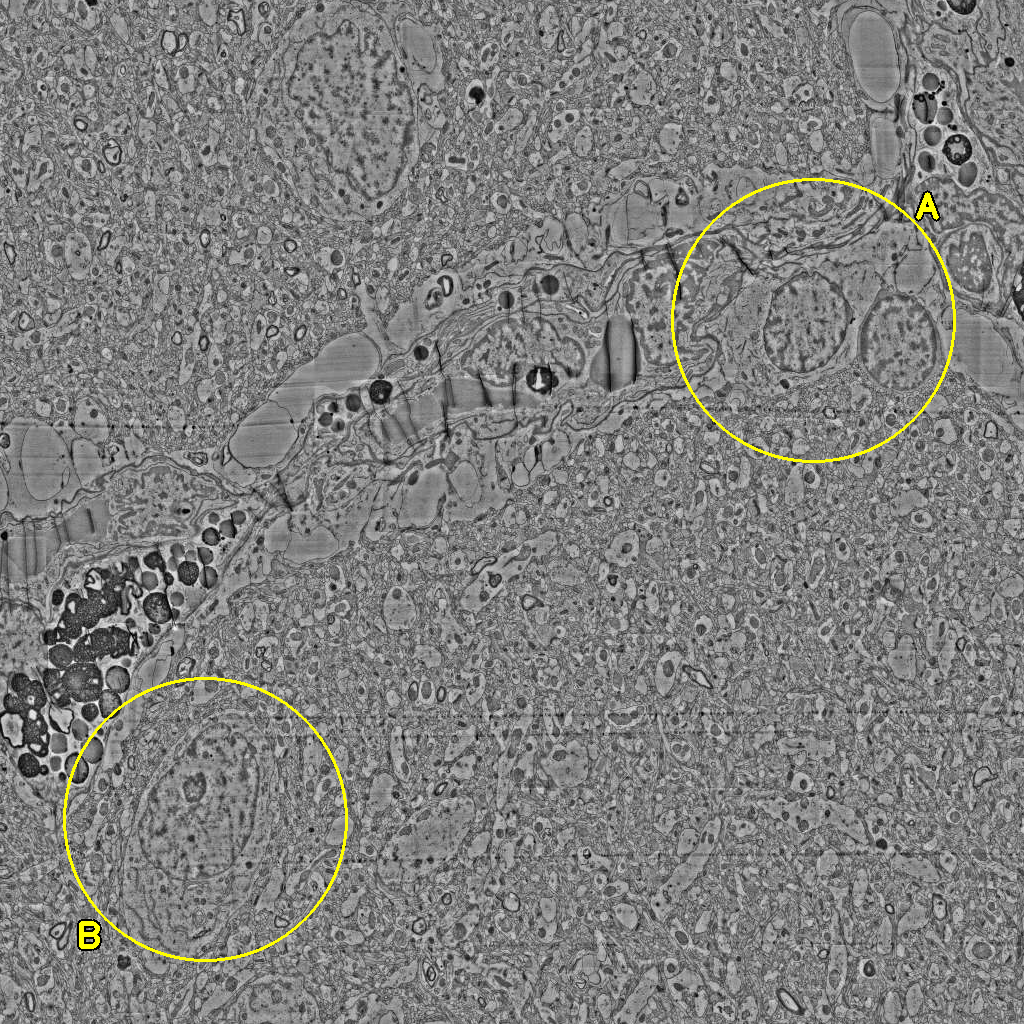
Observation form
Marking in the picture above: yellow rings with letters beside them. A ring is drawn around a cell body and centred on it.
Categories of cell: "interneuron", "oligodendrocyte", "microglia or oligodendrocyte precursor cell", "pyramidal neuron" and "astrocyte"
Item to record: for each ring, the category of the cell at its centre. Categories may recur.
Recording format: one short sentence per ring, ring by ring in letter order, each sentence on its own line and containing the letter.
Ring A is placed on a microglial cell or oligodendrocyte precursor cell.
Ring B is placed on an interneuron.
